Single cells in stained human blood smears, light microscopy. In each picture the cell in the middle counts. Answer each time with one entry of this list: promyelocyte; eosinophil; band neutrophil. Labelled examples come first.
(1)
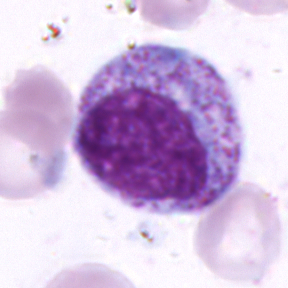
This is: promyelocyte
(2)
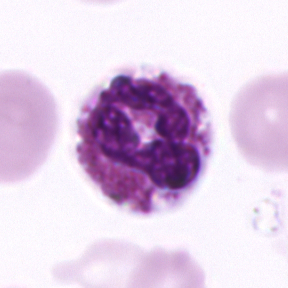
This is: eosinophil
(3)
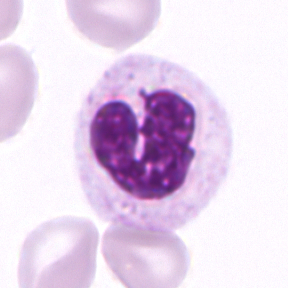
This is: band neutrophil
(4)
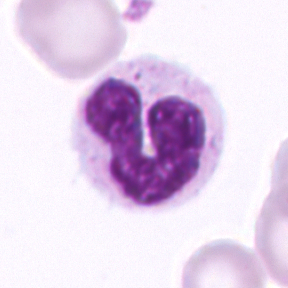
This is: band neutrophil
